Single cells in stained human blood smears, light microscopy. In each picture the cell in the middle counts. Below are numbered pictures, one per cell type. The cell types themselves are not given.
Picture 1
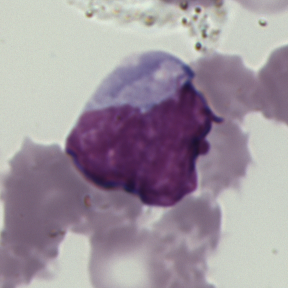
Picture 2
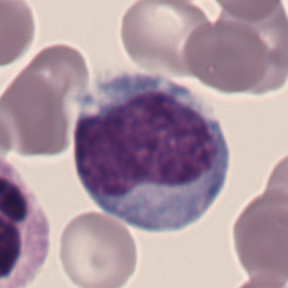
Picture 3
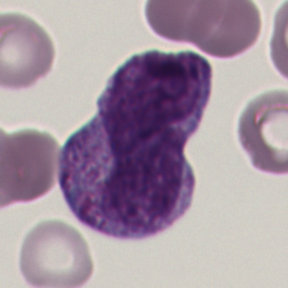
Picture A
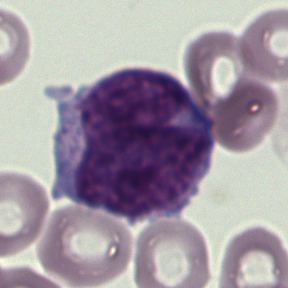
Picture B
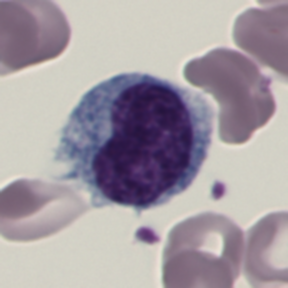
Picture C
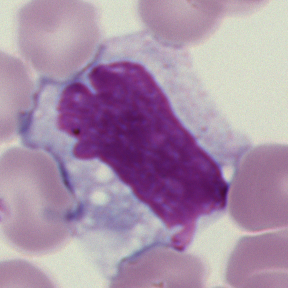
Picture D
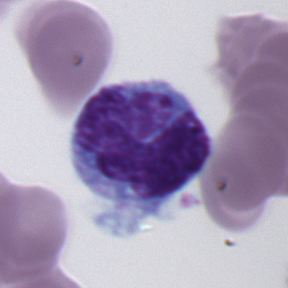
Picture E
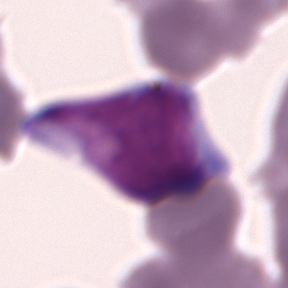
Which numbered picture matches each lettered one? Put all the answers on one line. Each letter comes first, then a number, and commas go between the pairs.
A 3, B 2, C 2, D 2, E 1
